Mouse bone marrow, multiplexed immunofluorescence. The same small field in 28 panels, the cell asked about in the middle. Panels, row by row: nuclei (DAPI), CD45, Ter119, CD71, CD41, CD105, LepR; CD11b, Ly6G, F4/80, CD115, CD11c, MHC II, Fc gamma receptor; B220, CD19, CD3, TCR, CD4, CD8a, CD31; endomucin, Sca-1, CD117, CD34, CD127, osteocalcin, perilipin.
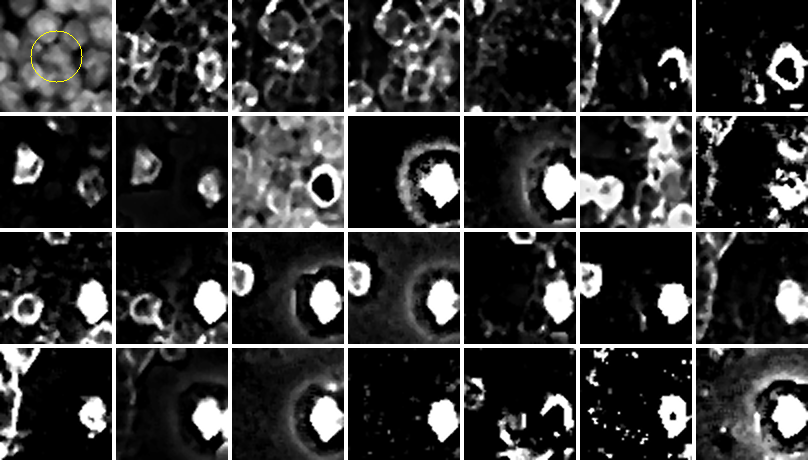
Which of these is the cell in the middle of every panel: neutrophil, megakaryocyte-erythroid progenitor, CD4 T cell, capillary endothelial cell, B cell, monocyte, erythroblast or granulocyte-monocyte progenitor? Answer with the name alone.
erythroblast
